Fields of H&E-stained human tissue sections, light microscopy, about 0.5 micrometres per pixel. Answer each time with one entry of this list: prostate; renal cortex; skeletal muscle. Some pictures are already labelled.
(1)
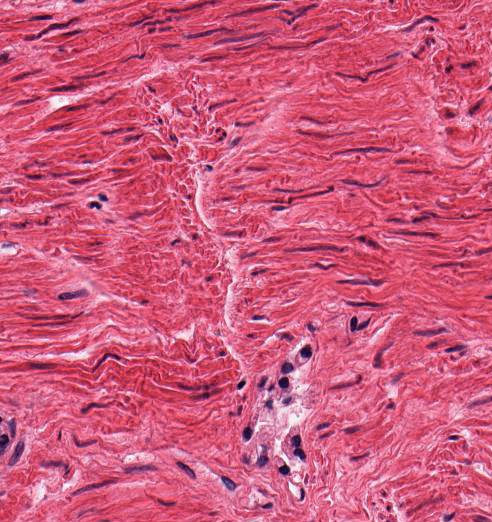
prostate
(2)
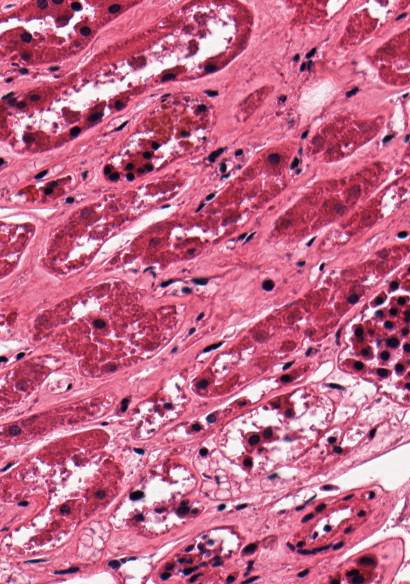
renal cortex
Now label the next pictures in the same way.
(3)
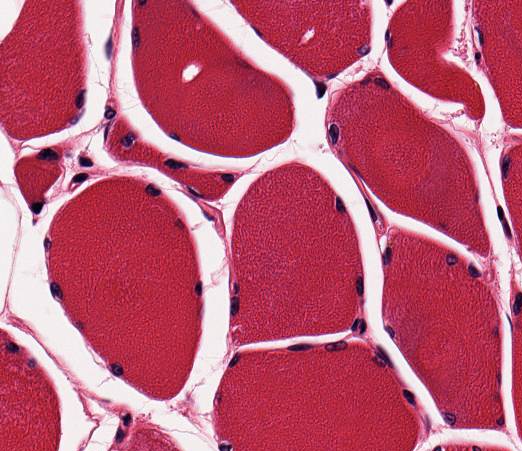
skeletal muscle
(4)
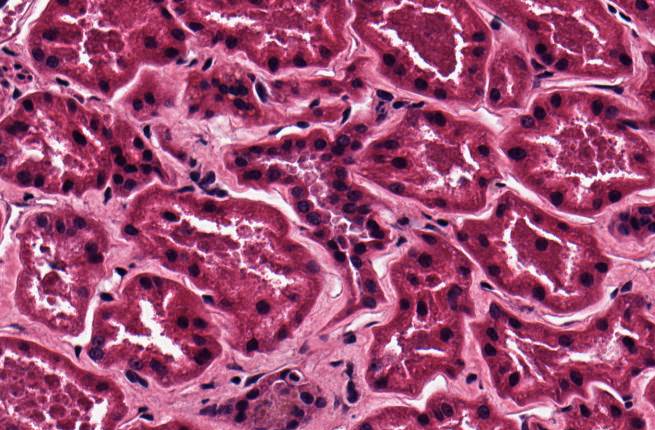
renal cortex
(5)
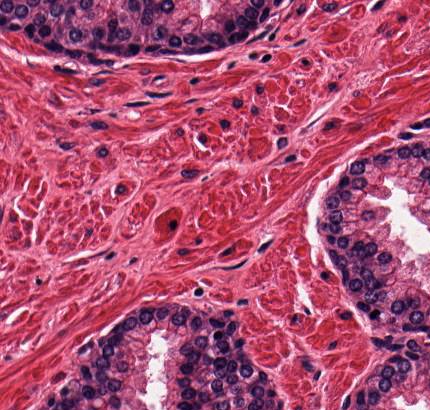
prostate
